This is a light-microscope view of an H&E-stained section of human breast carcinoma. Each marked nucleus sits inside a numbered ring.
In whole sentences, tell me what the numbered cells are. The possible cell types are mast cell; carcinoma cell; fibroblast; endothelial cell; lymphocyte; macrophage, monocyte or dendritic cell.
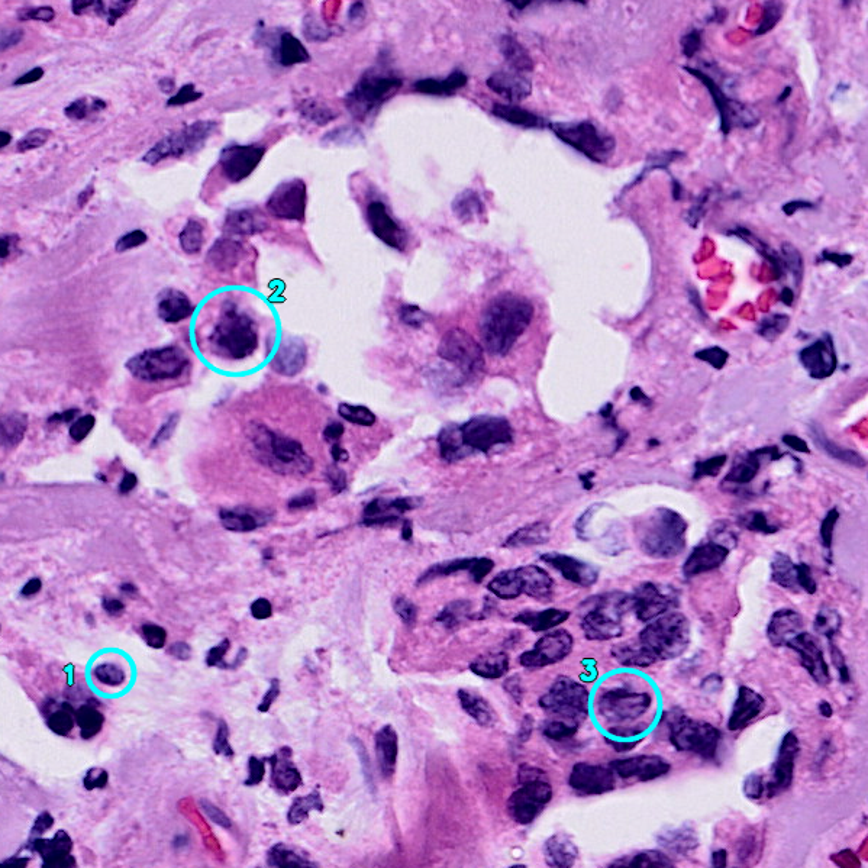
Cell 1 is a lymphocyte. Cells 2 and 3 are carcinoma cells.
